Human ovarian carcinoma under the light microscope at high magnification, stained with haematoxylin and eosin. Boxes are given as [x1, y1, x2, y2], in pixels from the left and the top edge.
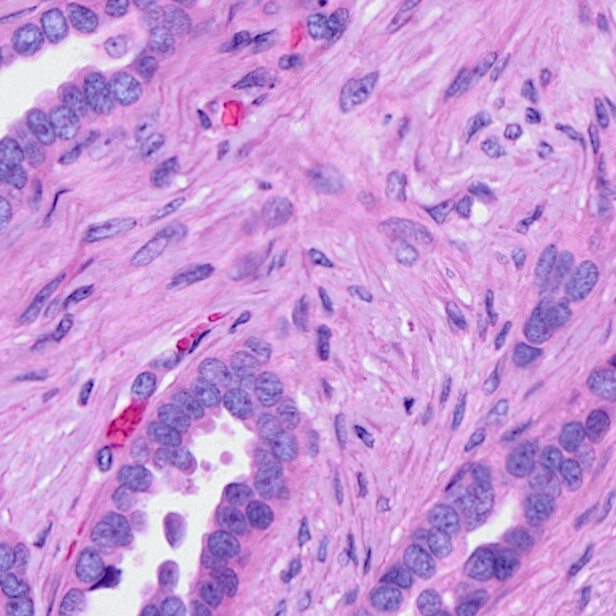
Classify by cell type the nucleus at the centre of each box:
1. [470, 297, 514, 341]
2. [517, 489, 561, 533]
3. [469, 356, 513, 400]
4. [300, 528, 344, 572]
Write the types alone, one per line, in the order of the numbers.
fibroblast
carcinoma cell
fibroblast
fibroblast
